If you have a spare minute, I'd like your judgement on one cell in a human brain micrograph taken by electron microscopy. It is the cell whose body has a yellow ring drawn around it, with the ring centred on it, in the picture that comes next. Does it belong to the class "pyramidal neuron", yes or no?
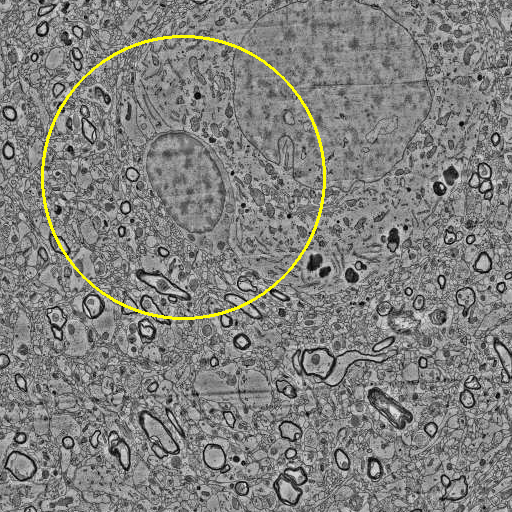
No, it belongs to another class.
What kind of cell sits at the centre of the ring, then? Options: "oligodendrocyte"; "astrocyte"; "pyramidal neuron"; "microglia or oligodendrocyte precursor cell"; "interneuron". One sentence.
Instead, the cell at the centre of the ring is an oligodendrocyte.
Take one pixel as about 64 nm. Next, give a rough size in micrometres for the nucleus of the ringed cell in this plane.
The ringed cell's nucleus is roughly 7 by 4 micrometres and clearly longer than it is wide in this plane.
